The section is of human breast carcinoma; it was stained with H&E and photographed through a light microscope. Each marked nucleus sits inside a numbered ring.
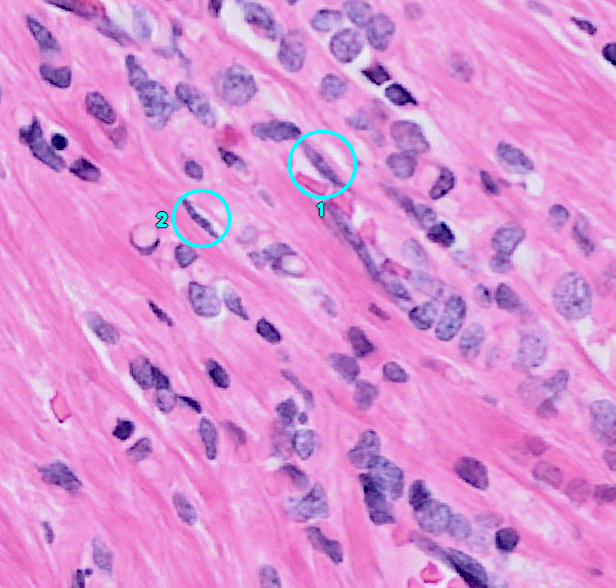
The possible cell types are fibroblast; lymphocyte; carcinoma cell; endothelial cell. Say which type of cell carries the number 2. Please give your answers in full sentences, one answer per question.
Within this field of view, the cell labelled 2 is a fibroblast.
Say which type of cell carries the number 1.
The cell that carries the label 1 is an endothelial cell.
